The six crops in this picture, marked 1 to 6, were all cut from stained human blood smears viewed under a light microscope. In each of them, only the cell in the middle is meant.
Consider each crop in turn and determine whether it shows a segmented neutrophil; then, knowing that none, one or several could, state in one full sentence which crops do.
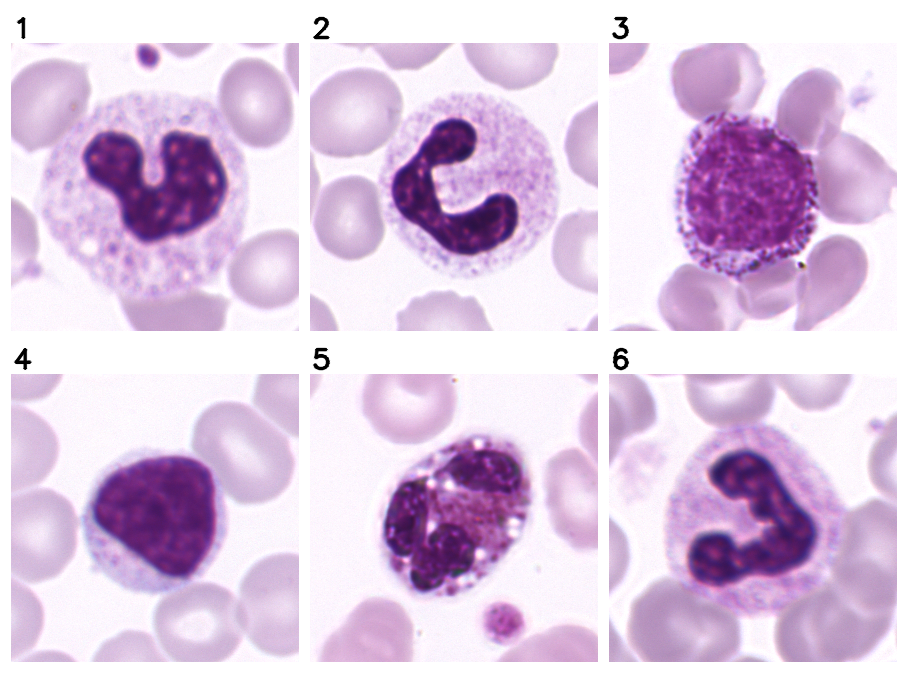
Of the crops in this set, 1, 2 and 6 show segmented neutrophils.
